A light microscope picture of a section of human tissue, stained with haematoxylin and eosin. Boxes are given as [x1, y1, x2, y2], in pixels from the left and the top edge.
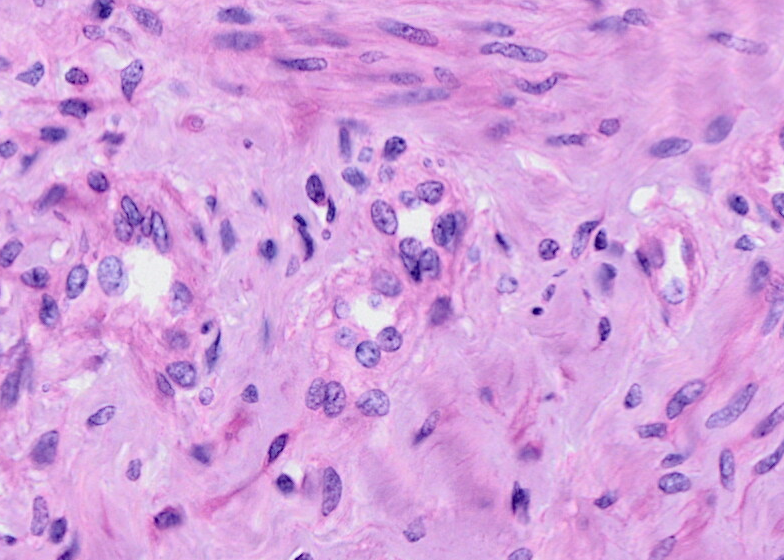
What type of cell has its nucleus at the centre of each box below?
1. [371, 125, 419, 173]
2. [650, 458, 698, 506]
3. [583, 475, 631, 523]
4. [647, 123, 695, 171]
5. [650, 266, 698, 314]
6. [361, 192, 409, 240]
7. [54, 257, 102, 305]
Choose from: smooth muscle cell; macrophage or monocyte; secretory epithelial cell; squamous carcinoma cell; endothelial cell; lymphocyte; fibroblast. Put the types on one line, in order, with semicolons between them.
lymphocyte; smooth muscle cell; smooth muscle cell; fibroblast; endothelial cell; endothelial cell; endothelial cell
